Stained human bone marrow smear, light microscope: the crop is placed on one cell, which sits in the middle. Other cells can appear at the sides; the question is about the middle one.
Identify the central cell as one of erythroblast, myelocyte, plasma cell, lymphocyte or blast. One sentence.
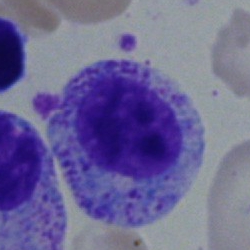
Where the crop is centred, there is a myelocyte.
